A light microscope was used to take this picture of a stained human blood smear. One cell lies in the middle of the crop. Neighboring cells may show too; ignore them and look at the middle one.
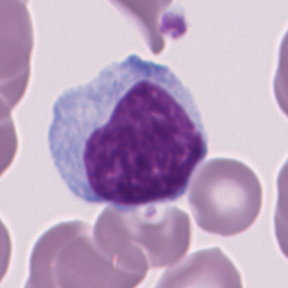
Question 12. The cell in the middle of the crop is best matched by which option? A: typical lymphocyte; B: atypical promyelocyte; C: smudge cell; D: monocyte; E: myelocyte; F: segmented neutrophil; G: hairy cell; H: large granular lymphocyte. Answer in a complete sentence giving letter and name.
The correct option is A, as the central cell is a typical lymphocyte.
